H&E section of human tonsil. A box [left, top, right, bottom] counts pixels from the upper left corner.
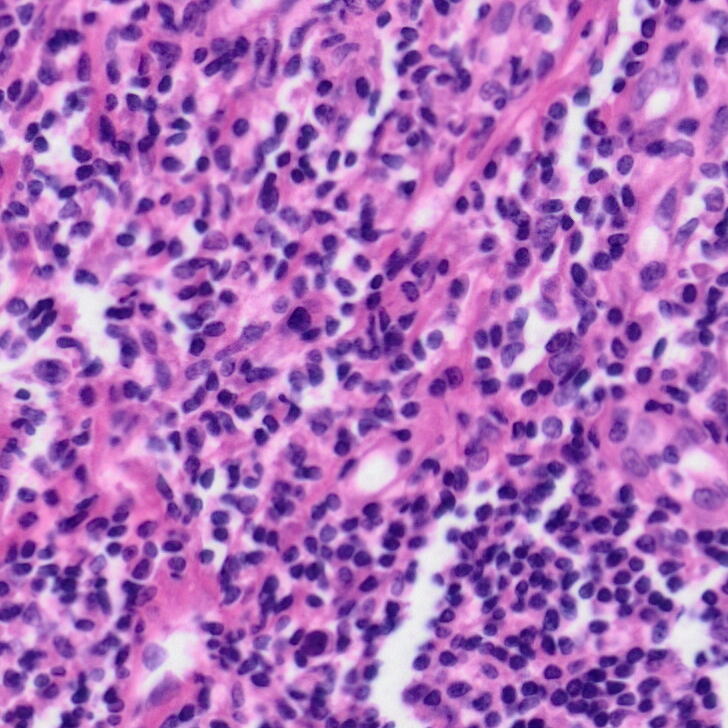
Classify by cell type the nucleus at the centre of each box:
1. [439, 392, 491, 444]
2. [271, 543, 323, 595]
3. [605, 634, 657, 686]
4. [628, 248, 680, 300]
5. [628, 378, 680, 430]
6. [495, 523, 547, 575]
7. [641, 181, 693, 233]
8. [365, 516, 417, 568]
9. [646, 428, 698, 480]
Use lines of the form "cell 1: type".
cell 1: endothelial cell
cell 2: small lymphocyte
cell 3: small lymphocyte
cell 4: endothelial cell
cell 5: endothelial cell
cell 6: small lymphocyte
cell 7: endothelial cell
cell 8: small lymphocyte
cell 9: endothelial cell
